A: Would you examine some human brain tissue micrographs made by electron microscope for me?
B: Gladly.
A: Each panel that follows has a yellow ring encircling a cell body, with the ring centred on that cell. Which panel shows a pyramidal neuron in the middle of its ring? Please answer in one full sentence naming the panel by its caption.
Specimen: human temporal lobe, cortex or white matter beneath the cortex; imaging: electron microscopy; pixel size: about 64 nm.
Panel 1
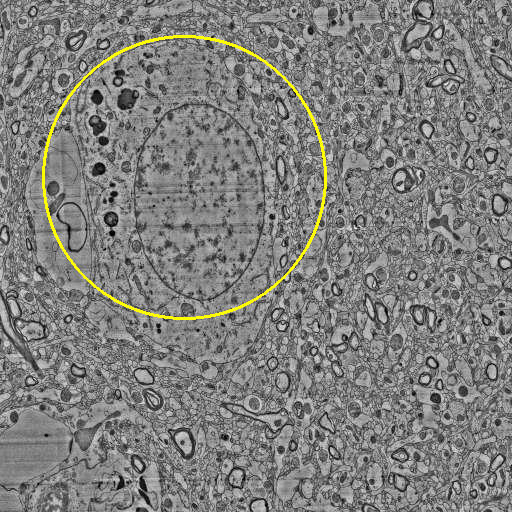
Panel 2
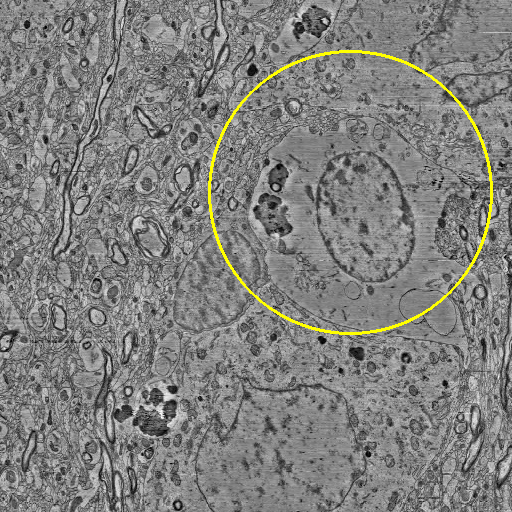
Panel 1 is where the ring sits centred on the requested cell.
